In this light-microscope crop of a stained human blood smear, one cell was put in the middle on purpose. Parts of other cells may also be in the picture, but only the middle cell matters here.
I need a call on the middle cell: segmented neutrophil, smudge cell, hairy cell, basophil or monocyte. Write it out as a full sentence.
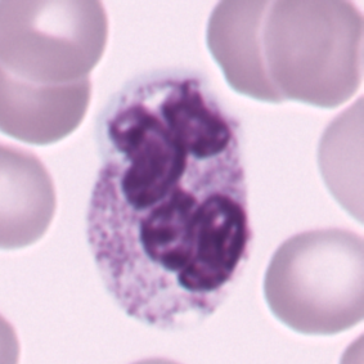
The cell featured at the centre of this crop is a segmented neutrophil.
